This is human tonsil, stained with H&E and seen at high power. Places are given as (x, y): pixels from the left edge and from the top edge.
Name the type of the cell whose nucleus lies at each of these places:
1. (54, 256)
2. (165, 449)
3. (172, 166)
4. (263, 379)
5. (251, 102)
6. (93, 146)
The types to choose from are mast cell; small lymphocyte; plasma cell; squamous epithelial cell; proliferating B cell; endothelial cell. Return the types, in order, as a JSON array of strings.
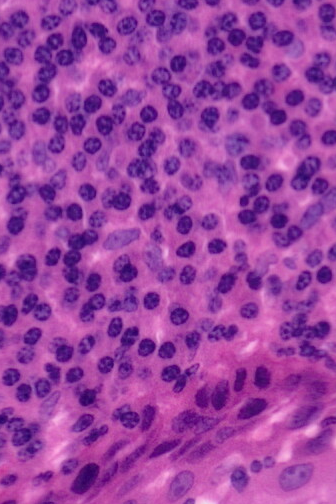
["plasma cell", "squamous epithelial cell", "plasma cell", "squamous epithelial cell", "plasma cell", "plasma cell"]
